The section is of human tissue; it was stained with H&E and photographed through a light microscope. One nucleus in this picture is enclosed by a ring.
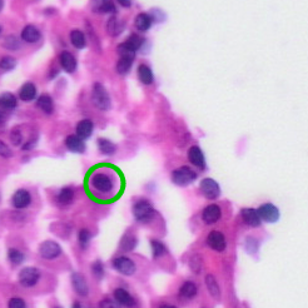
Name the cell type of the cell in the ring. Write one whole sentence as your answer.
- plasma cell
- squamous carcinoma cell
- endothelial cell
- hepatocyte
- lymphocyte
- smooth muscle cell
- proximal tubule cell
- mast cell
Cell type answer for this item: the cell in the ring is a plasma cell.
